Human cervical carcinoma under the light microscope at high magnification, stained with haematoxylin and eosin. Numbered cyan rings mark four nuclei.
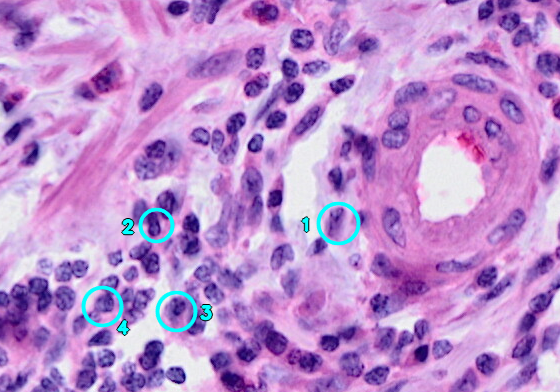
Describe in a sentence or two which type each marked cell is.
Cell 1 is a macrophage or monocyte. Cells 2, 3 and 4 are lymphocytes.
